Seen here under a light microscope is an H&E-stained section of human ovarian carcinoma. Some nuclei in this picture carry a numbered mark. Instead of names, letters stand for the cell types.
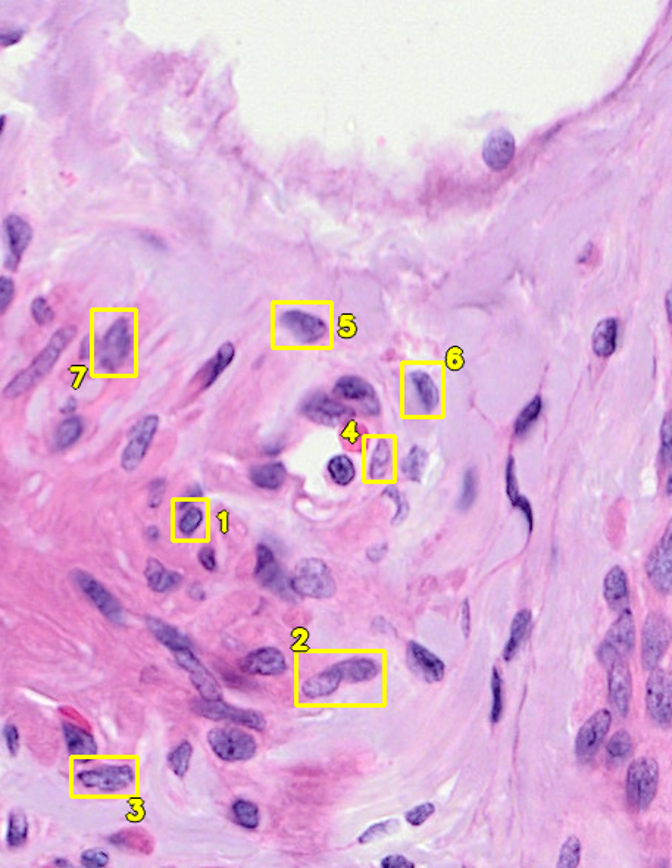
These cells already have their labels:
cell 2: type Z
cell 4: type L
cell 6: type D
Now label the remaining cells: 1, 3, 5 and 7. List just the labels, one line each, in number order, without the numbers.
type Z
type L
type D
type Z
